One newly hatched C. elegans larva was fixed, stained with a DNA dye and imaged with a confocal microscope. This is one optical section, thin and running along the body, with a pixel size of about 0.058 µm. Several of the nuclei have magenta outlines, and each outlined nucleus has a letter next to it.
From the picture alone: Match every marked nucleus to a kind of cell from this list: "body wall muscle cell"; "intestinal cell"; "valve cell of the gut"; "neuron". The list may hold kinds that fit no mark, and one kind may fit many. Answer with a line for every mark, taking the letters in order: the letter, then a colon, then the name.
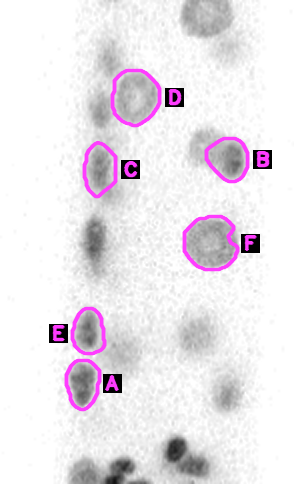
A: neuron
B: body wall muscle cell
C: neuron
D: intestinal cell
E: neuron
F: intestinal cell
